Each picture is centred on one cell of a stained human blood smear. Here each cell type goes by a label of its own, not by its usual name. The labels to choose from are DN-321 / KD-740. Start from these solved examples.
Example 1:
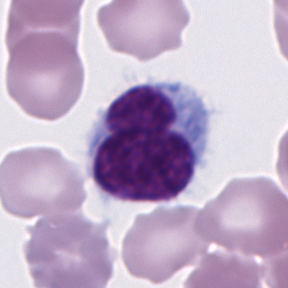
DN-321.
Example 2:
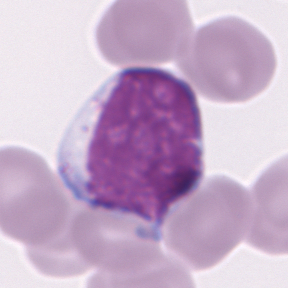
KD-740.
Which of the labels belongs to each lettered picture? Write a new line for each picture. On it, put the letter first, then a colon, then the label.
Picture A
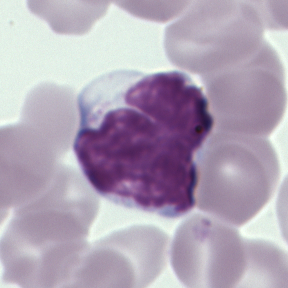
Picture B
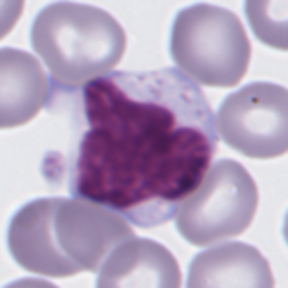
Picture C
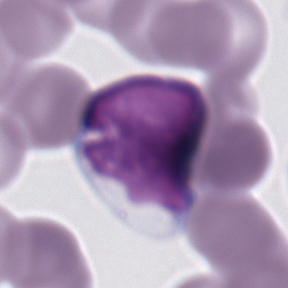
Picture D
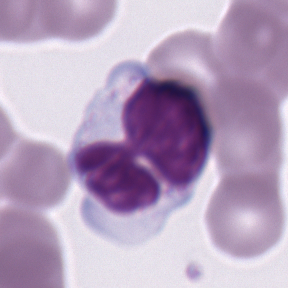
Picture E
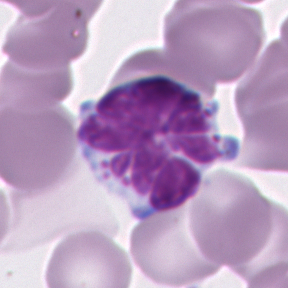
A: KD-740.
B: KD-740.
C: KD-740.
D: KD-740.
E: KD-740.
